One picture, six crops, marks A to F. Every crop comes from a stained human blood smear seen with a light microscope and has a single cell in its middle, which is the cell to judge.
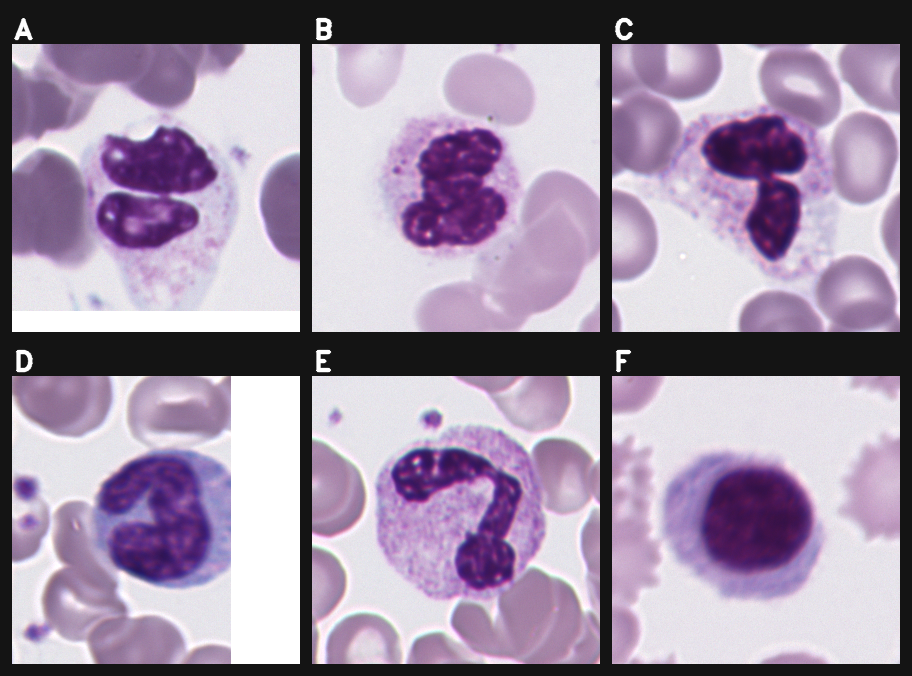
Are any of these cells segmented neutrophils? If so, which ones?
A, B, C, E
